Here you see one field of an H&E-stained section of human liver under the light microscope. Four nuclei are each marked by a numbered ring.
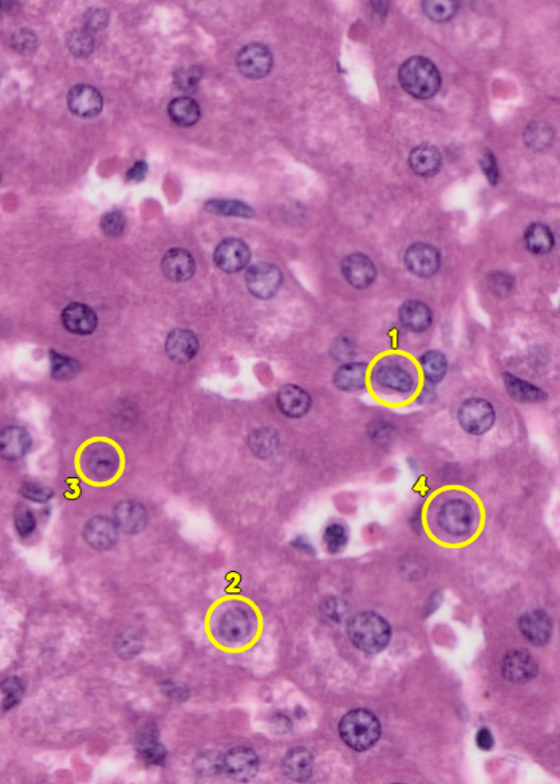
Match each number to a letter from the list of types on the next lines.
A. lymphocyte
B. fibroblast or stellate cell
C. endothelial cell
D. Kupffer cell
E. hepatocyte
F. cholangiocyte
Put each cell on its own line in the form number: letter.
1: F
2: E
3: E
4: E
